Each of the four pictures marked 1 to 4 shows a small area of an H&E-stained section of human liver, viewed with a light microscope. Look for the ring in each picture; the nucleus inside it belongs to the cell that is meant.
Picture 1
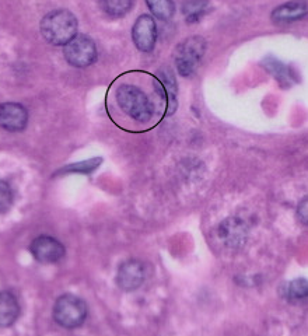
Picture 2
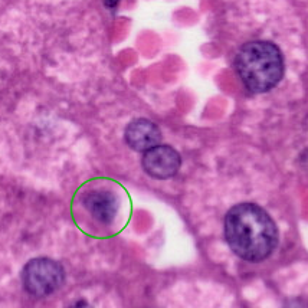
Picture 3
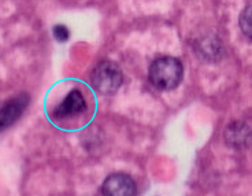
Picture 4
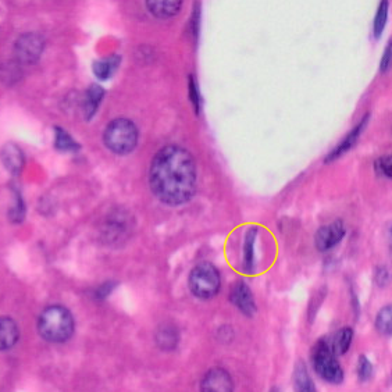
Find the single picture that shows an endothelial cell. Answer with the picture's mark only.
2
